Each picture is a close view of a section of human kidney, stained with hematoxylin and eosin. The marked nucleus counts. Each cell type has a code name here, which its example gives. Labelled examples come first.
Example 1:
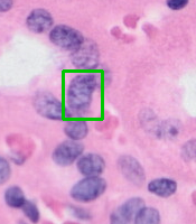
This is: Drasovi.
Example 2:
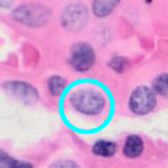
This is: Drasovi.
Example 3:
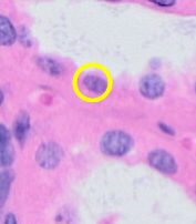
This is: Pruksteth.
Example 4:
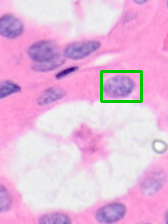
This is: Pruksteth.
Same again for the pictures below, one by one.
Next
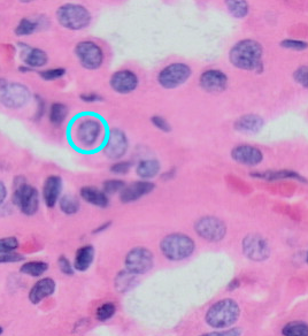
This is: Drasovi.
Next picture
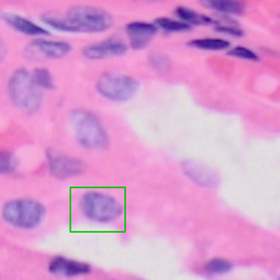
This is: Pruksteth.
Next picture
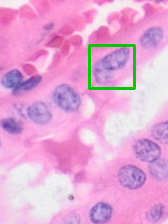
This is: Drasovi.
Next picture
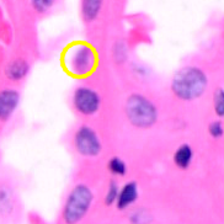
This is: Pruksteth.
